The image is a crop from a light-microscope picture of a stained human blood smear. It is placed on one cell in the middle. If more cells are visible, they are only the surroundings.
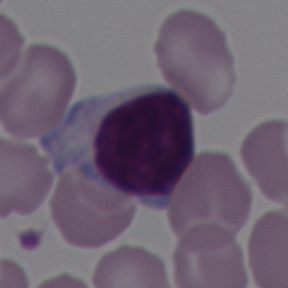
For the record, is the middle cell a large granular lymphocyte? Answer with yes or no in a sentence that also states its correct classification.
No, the cell in the middle is not a large granular lymphocyte but a typical lymphocyte.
